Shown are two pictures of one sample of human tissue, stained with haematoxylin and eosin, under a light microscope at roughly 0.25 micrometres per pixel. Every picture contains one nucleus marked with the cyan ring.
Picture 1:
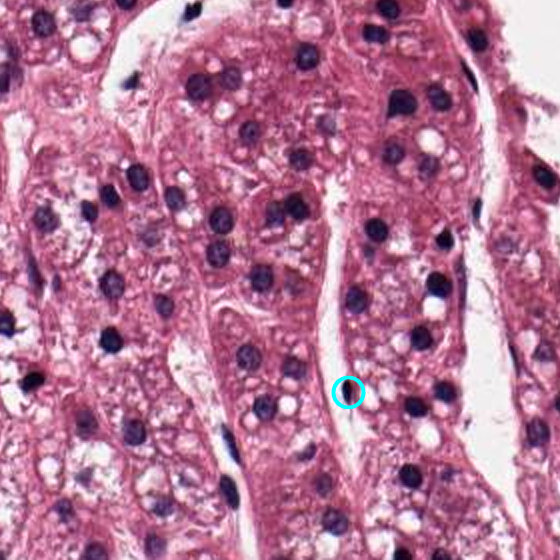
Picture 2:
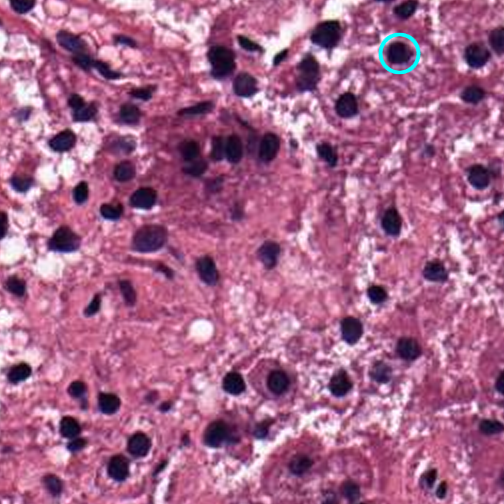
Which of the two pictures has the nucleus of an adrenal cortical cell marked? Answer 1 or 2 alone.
2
